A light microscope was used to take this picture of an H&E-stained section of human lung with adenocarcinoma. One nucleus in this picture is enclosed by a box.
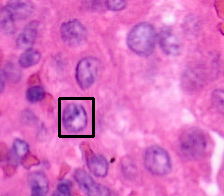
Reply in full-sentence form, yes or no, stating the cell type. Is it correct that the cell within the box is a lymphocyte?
No, what the cell within the box represents is a macrophage or monocyte rather than a lymphocyte.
